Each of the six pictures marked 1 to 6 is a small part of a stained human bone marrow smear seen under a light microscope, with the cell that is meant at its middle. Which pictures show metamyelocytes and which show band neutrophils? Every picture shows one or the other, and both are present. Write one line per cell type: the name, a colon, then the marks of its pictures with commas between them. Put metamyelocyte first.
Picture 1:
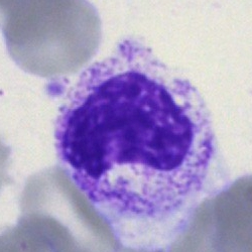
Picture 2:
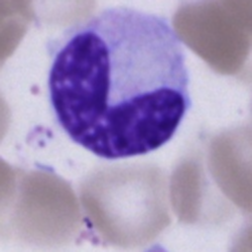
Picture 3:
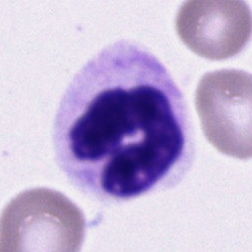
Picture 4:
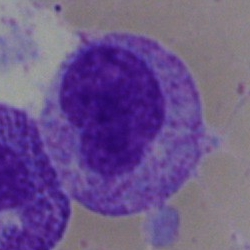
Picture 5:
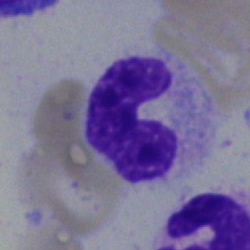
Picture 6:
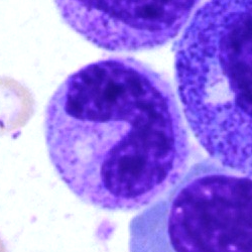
metamyelocyte: 1, 4
band neutrophil: 2, 3, 5, 6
